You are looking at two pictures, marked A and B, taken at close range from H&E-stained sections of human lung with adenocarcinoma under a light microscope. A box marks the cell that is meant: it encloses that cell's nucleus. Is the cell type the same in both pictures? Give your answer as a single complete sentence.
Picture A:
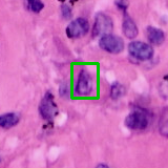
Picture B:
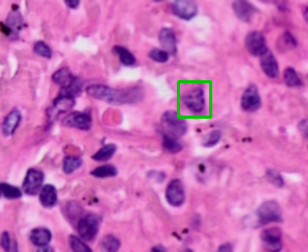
Yes, both are plasma cells.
